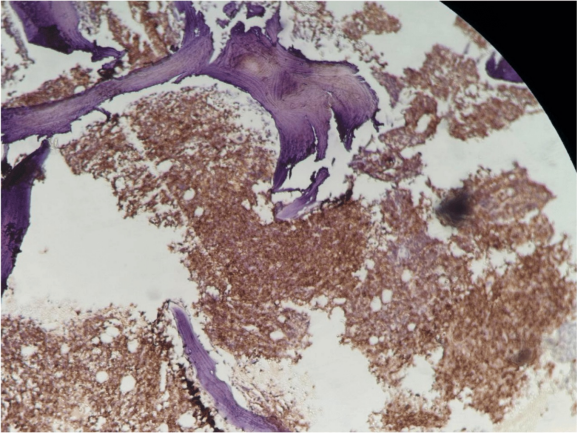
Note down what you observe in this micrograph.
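Bone marrow with purple-counterstained bony trabeculae crossing the field. The intertrabecular spaces are filled by a dense, diffuse infiltrate of small cells that take up brown stain almost throughout, forming confluent brown sheets rather than scattered positive cells. Few unstained areas remain among the sheets, mostly small round clear fat spaces and artefactual gaps where tissue has torn. Individual cell outlines are hard to separate at this magnification; the staining appears granular and even across the infiltrate.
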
